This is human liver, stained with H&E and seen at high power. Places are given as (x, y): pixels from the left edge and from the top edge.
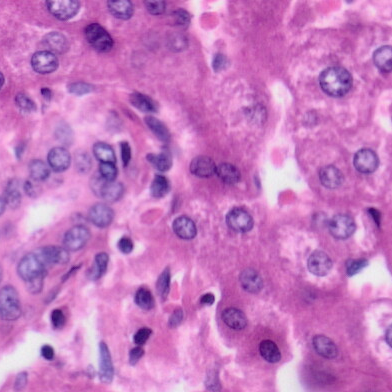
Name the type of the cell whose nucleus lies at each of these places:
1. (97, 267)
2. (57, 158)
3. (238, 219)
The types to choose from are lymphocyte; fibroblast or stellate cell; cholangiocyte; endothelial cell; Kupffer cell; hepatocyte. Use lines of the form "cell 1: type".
cell 1: fibroblast or stellate cell
cell 2: cholangiocyte
cell 3: hepatocyte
